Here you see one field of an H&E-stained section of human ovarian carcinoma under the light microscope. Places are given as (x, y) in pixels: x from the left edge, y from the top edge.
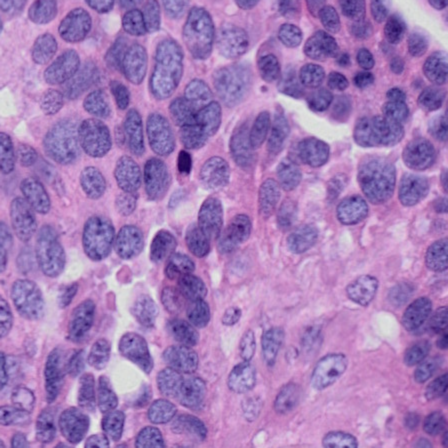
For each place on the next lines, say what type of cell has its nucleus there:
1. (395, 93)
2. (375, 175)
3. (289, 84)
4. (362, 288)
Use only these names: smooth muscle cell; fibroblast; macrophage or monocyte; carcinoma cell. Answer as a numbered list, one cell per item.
1. carcinoma cell
2. carcinoma cell
3. carcinoma cell
4. fibroblast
